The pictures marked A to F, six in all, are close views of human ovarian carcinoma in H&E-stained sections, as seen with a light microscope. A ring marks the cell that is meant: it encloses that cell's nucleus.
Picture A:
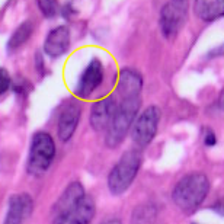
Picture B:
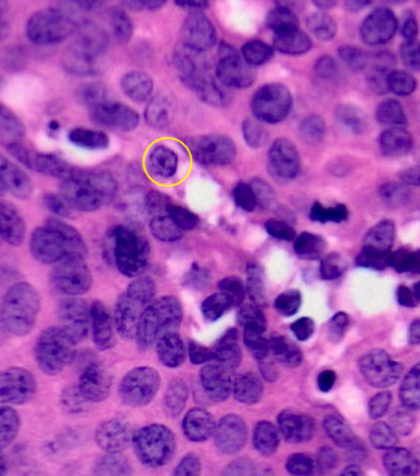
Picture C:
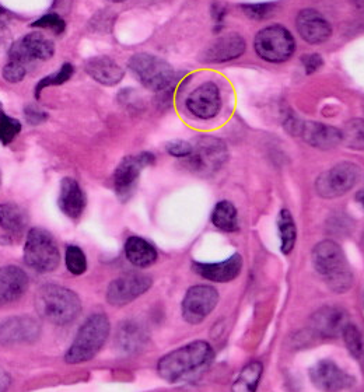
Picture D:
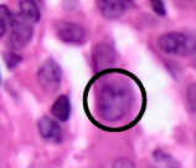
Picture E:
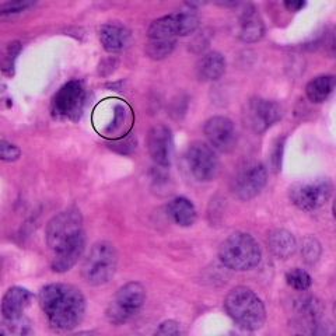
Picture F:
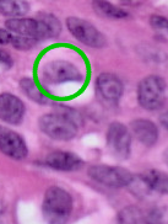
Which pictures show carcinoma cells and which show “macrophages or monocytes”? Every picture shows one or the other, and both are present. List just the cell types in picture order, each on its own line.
carcinoma cell
macrophage or monocyte
macrophage or monocyte
carcinoma cell
macrophage or monocyte
macrophage or monocyte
